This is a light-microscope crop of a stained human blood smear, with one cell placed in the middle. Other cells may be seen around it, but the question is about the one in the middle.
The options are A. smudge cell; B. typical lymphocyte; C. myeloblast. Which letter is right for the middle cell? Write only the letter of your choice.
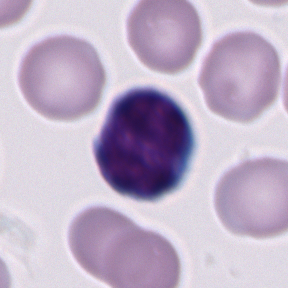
B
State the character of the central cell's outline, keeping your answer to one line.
The edge of the cell is unbroken and smooth, bearing no projections.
